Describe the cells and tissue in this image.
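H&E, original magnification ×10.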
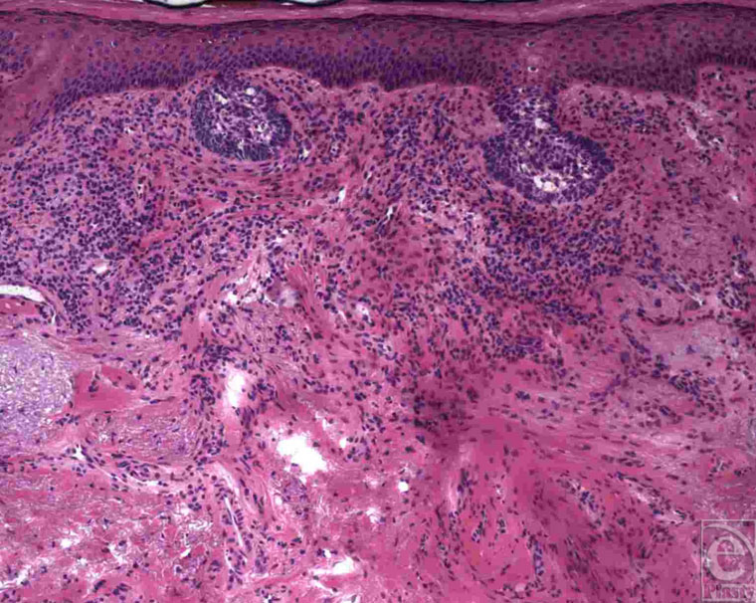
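This is skin with a superficial basal cell carcinoma. Along the top runs the epidermis, a thin band of purple-staining keratinocytes. From its underside hang two rounded nests of small, crowded, dark-blue basaloid tumor cells, one at the left and one at the right of centre, with the cells at each nest's edge lined up along its border. Between the two nests lies a stretch of epidermis without tumor attached to it. The upper dermis beneath is densely filled with small dark inflammatory and stromal cells among pink fibres. At the lower left, the dermis holds pale grey-blue, fibrillar material, which differs from the pink collagen around it.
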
